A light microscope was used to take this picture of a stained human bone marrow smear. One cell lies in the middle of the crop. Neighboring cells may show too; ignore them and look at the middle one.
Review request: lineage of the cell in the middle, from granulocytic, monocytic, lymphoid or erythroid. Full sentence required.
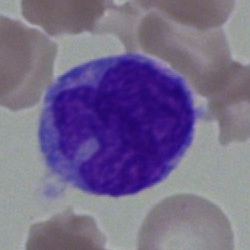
The middle cell of the crop belongs with the cells of the monocytic lineage.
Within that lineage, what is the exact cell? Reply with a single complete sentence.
The cell shown in the center of this light-microscope crop is a monocyte.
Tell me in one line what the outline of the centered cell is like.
The edge is uneven, and this unevenness takes the form of ragged stretches or projections.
